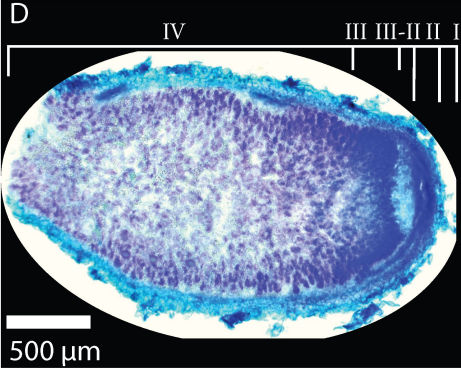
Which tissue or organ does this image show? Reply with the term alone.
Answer: Nodule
